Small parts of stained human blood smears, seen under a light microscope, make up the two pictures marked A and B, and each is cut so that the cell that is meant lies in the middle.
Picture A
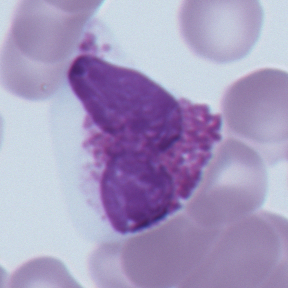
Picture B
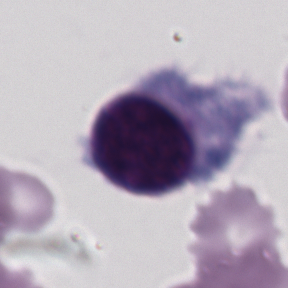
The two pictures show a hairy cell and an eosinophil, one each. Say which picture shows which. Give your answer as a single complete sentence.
It is picture A that shows an eosinophil, and picture B that shows a hairy cell.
